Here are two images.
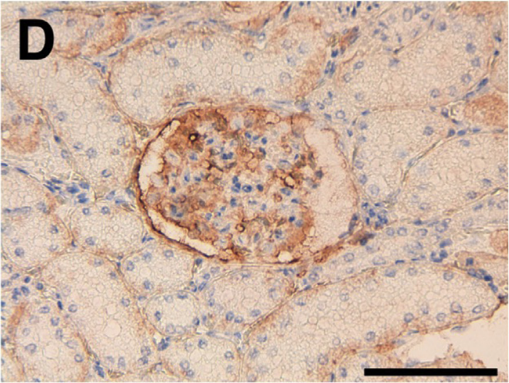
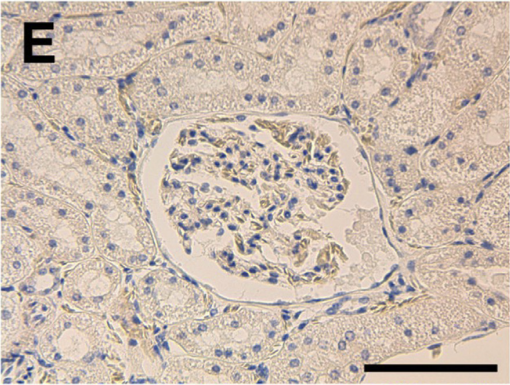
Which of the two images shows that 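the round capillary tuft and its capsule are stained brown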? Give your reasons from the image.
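First image: the tuft carries brown granular stain and the capsule a brown rim.
Conclusion: the first image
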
